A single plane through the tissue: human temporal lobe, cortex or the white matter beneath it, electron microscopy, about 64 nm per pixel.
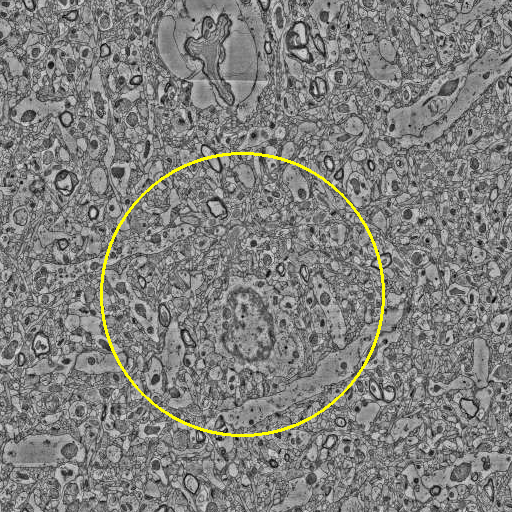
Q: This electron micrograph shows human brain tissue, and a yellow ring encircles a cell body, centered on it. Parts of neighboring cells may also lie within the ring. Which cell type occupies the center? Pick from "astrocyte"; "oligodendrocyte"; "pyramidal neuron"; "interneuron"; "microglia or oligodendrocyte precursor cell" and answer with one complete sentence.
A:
What sits at the ring's center in this micrograph is an interneuron, among those choices.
